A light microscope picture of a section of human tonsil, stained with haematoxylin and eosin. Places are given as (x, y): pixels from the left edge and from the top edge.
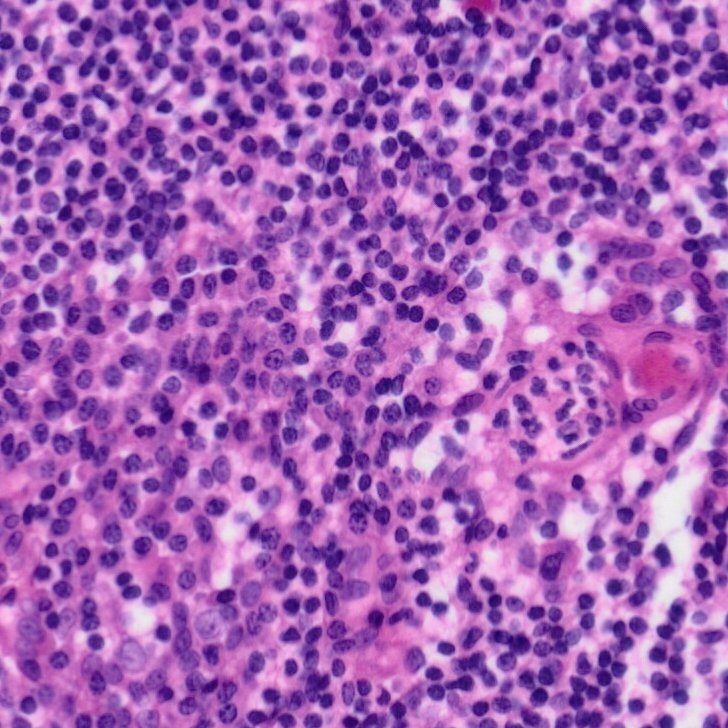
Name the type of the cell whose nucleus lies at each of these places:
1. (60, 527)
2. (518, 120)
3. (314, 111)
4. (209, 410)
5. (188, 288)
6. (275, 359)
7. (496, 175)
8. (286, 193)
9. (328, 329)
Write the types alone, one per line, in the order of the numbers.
plasma cell
small lymphocyte
small lymphocyte
plasma cell
plasma cell
plasma cell
small lymphocyte
small lymphocyte
small lymphocyte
